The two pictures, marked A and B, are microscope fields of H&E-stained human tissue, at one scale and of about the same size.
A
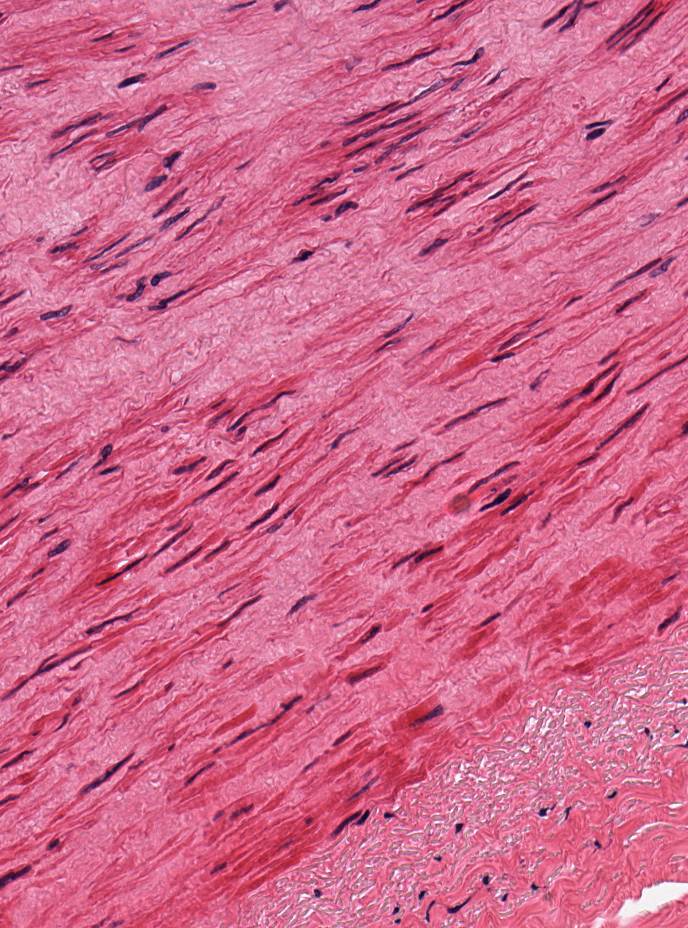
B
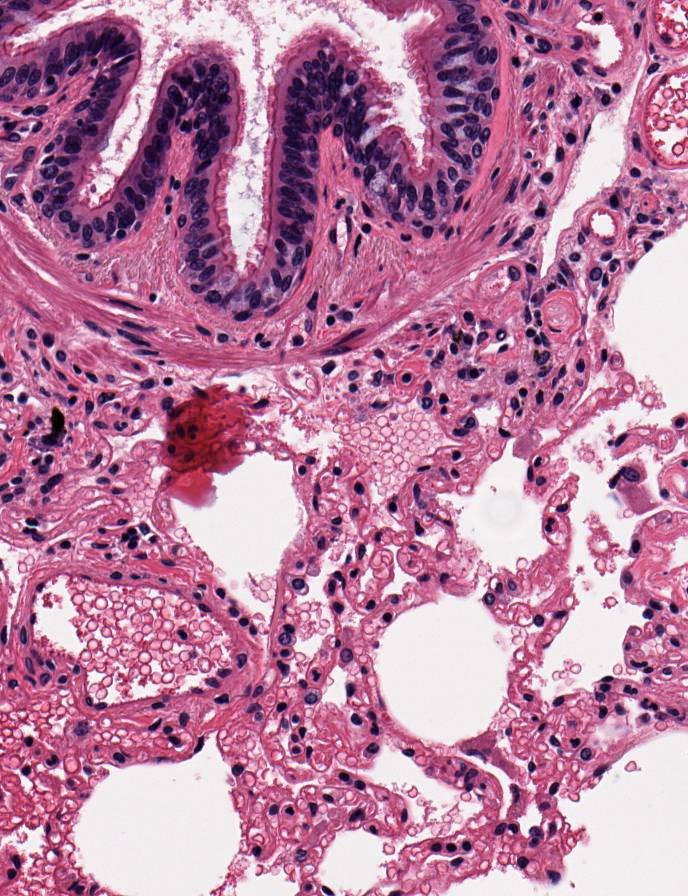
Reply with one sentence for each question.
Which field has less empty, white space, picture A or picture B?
It is picture A that stained tissue fills more completely.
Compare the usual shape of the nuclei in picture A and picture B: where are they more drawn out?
Longer, more slender nuclei lie in picture A.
